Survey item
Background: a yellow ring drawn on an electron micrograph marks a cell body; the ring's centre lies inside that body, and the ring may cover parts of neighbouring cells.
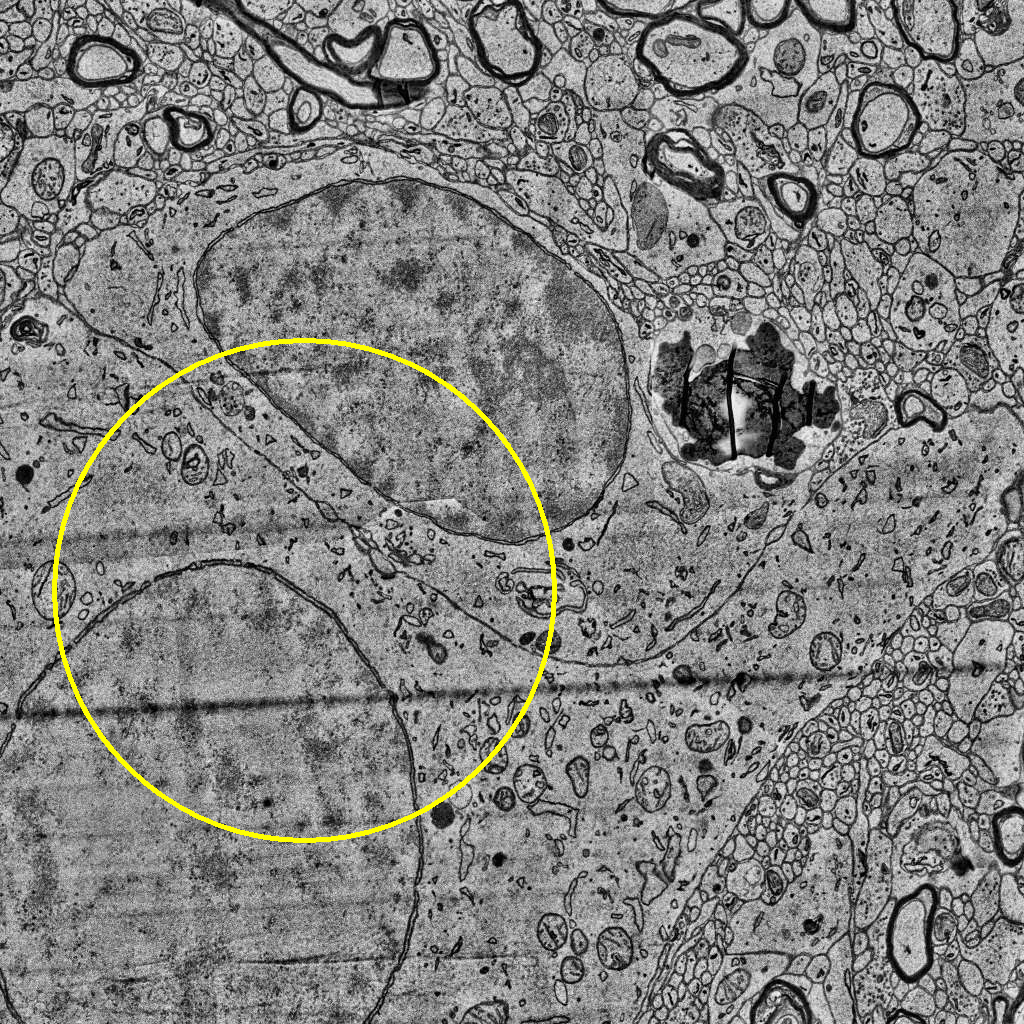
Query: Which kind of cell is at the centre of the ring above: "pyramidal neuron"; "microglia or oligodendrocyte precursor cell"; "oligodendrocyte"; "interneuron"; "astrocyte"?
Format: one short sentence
The cell in the middle of the ring is an oligodendrocyte.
